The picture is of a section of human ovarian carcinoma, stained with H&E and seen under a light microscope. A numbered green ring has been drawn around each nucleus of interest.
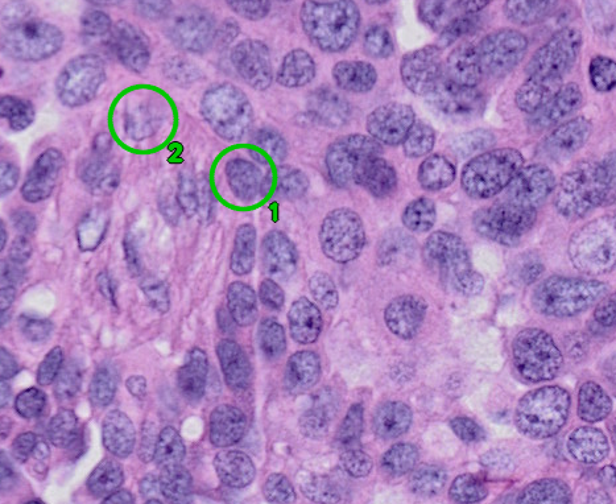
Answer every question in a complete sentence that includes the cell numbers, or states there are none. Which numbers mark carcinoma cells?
Only cell 1 should be marked as a carcinoma cell.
